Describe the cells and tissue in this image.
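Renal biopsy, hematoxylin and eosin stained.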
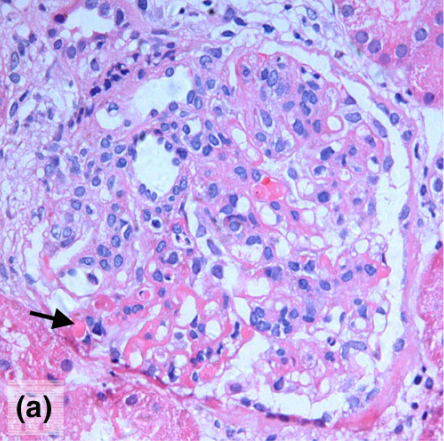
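A glomerulus within Bowman's capsule shows a cellular tuft of capillary loops with many dark blue nuclei. Scattered in the tuft are pink, glassy, acellular deposits, one at the lower left beside the capsule. A few capillary lumens remain open as clear spaces, and pink tubules surround the glomerulus outside the capsule.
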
